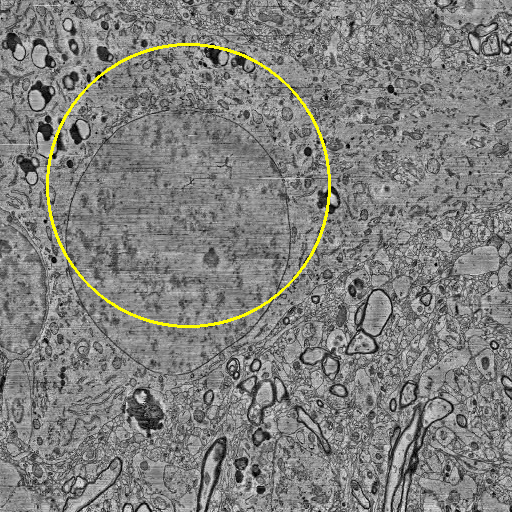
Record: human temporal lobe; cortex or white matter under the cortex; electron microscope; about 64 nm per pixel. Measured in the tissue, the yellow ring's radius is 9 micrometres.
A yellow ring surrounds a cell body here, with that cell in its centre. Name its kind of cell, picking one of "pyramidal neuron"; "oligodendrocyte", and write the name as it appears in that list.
pyramidal neuron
